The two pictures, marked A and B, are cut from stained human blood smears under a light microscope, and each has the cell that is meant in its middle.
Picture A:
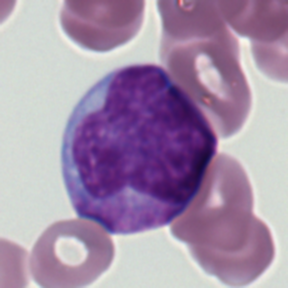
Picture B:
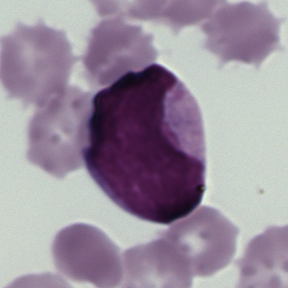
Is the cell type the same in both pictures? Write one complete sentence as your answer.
No, they differ: the cell is an atypical promyelocyte in picture A and a myeloblast in picture B.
